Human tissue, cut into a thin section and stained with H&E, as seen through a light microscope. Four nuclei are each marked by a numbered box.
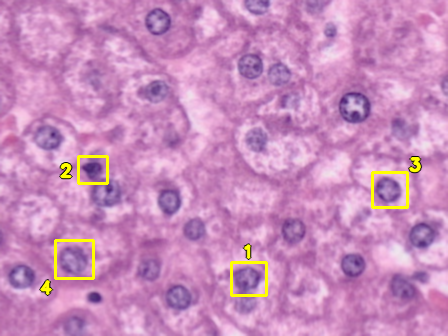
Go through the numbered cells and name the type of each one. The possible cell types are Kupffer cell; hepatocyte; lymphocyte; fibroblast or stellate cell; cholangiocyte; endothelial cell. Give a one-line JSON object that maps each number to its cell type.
{"1": "hepatocyte", "2": "fibroblast or stellate cell", "3": "hepatocyte", "4": "hepatocyte"}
